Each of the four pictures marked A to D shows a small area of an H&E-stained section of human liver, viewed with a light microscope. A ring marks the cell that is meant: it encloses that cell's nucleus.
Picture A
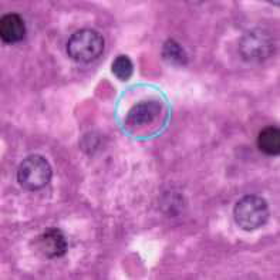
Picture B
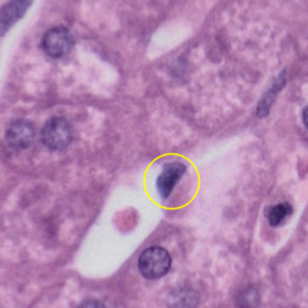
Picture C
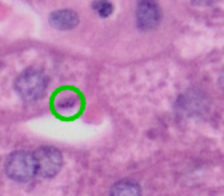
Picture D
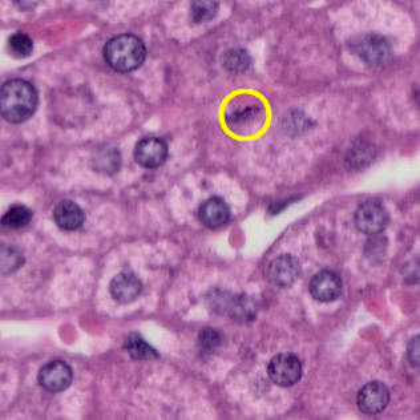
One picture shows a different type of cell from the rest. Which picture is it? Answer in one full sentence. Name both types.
Picture C differs, because its cell is a Kupffer cell and the rest are endothelial cells.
